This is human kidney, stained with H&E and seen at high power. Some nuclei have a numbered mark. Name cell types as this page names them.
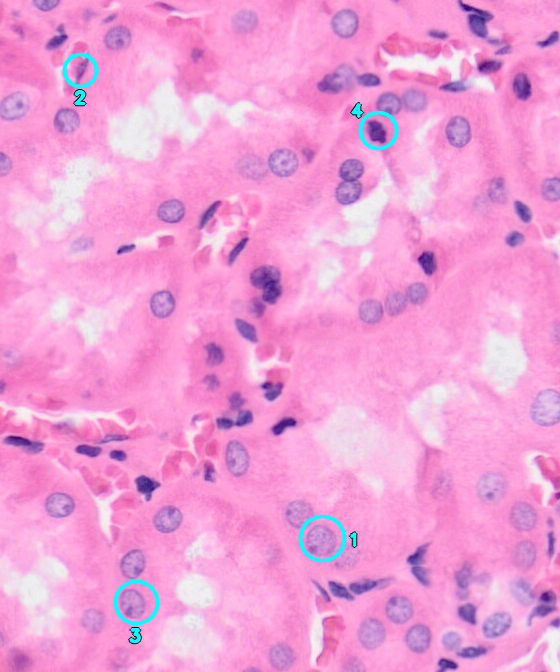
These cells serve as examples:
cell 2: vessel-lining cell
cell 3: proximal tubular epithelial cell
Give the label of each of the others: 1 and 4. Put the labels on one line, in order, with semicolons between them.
proximal tubular epithelial cell; proximal tubular epithelial cell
